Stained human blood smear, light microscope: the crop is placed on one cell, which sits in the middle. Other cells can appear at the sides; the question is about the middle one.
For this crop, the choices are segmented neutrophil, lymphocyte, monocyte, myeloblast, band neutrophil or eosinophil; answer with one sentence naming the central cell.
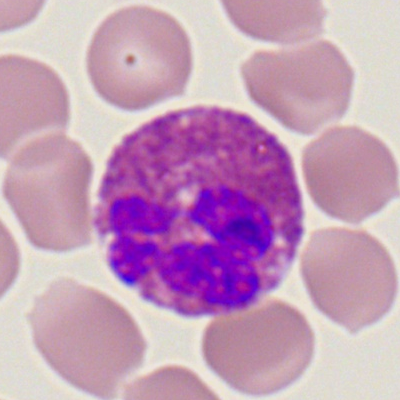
This particular crop is centered on an eosinophil.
